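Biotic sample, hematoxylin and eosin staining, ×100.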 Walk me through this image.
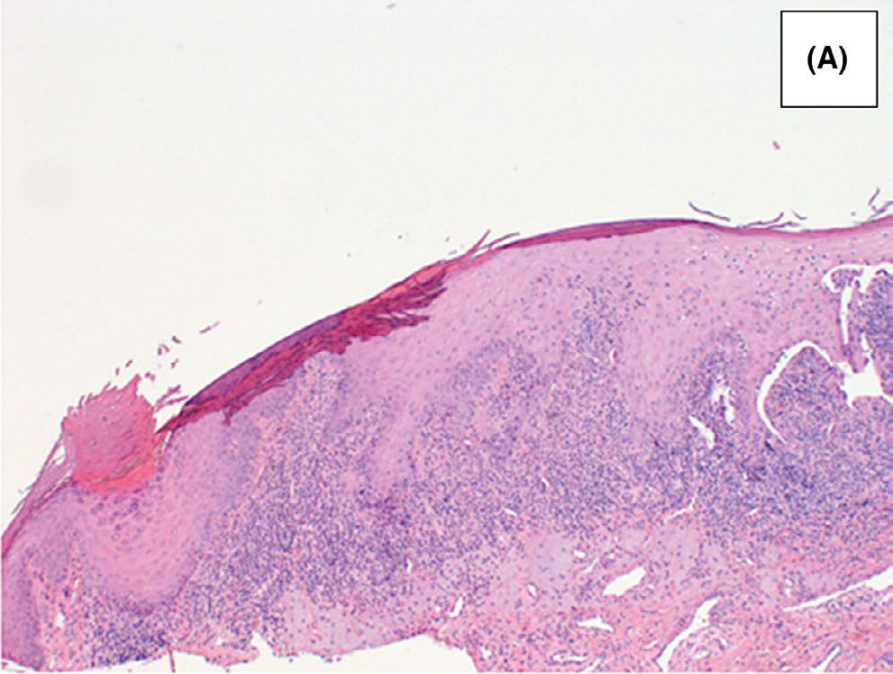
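This is skin at low power, with a thickened epidermis under a thick, compact pink keratin layer. The lower edge of the epidermis runs down in broad, irregular masses. The upper dermis beneath is packed with a dense band of small dark-staining inflammatory cells.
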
